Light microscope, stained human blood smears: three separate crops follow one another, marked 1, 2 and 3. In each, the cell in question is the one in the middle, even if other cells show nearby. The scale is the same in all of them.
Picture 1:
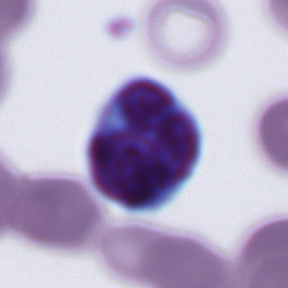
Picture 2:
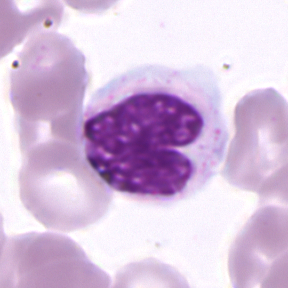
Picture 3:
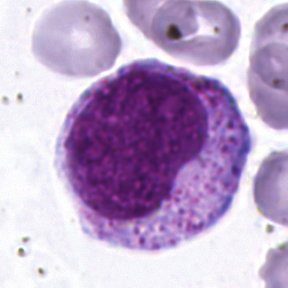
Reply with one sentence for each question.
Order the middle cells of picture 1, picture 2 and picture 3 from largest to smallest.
The order is 3, 2, 1, beginning with the largest.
